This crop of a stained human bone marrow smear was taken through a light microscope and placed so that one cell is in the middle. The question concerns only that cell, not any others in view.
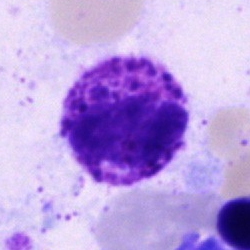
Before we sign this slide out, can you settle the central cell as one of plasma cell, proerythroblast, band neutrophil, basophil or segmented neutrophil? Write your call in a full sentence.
Here the centrally located cell is a basophil.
